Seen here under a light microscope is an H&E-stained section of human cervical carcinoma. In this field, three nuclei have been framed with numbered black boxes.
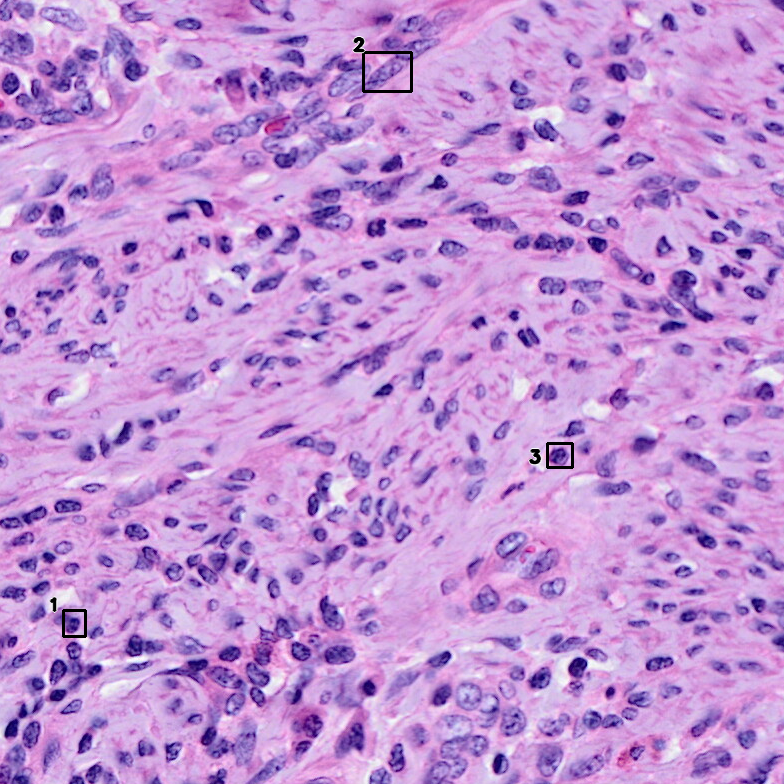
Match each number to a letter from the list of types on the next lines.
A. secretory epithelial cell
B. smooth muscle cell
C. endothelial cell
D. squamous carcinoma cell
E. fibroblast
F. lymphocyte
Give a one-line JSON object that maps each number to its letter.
{"1": "F", "2": "C", "3": "F"}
